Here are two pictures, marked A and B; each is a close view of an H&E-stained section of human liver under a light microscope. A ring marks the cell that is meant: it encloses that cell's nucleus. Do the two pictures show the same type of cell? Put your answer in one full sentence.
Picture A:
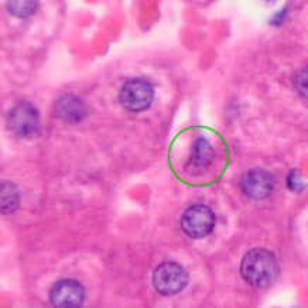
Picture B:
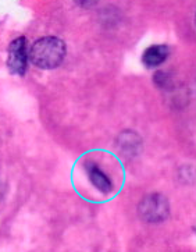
No, picture A shows a Kupffer cell and picture B shows a “fibroblast or stellate cell”.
